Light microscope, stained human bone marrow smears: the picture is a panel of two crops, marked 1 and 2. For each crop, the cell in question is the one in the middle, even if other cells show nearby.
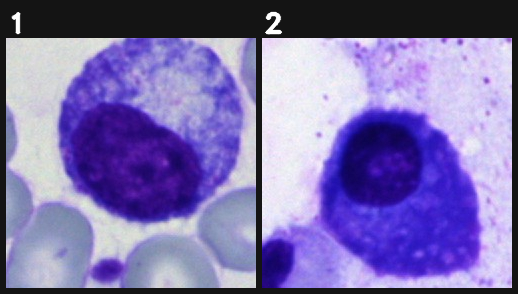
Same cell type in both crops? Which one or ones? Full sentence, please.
No, crop 1 is home to a promyelocyte, and crop 2 to a plasma cell.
